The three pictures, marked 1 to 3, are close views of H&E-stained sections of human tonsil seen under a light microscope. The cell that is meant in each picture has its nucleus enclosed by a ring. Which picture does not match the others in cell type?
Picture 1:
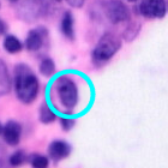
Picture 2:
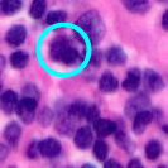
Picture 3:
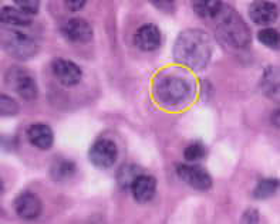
3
